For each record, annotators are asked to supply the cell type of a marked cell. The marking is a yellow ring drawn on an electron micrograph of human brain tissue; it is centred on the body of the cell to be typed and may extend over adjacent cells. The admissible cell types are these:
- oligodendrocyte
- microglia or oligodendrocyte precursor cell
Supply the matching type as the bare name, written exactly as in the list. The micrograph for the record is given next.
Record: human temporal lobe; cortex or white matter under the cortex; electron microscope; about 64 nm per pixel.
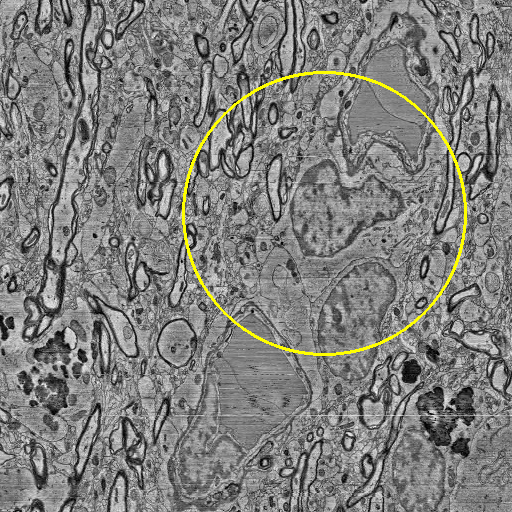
microglia or oligodendrocyte precursor cell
